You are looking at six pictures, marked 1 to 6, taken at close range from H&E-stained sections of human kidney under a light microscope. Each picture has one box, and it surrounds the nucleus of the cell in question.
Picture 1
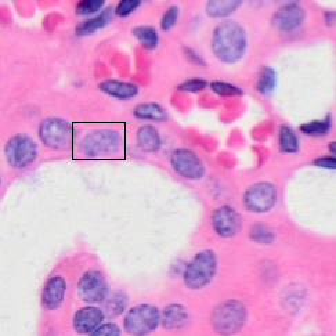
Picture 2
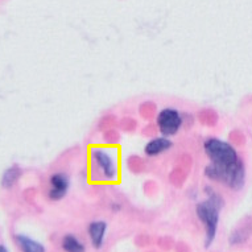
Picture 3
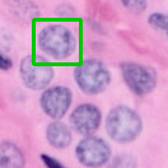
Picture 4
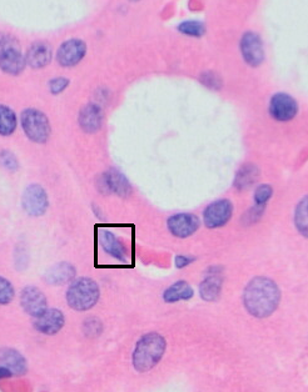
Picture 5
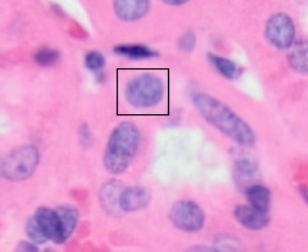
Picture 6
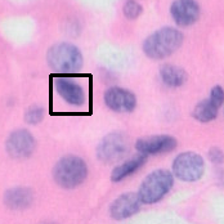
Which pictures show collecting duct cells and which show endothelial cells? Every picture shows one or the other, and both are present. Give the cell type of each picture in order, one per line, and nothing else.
collecting duct cell
endothelial cell
collecting duct cell
endothelial cell
collecting duct cell
collecting duct cell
